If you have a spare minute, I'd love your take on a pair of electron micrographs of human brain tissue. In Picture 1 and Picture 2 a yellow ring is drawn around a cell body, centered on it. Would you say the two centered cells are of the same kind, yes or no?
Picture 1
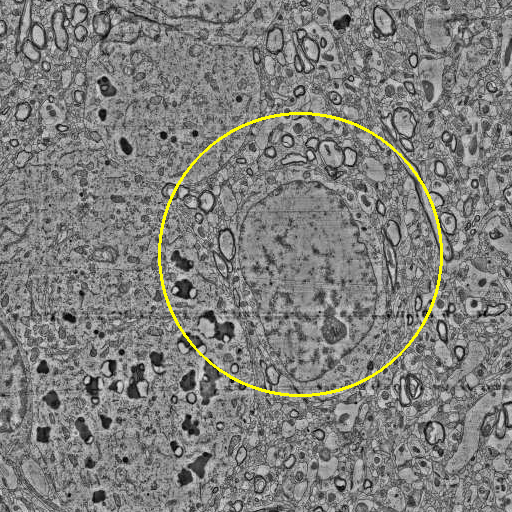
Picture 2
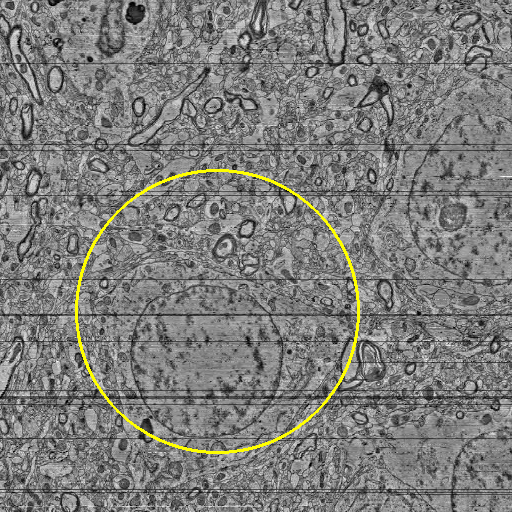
yes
